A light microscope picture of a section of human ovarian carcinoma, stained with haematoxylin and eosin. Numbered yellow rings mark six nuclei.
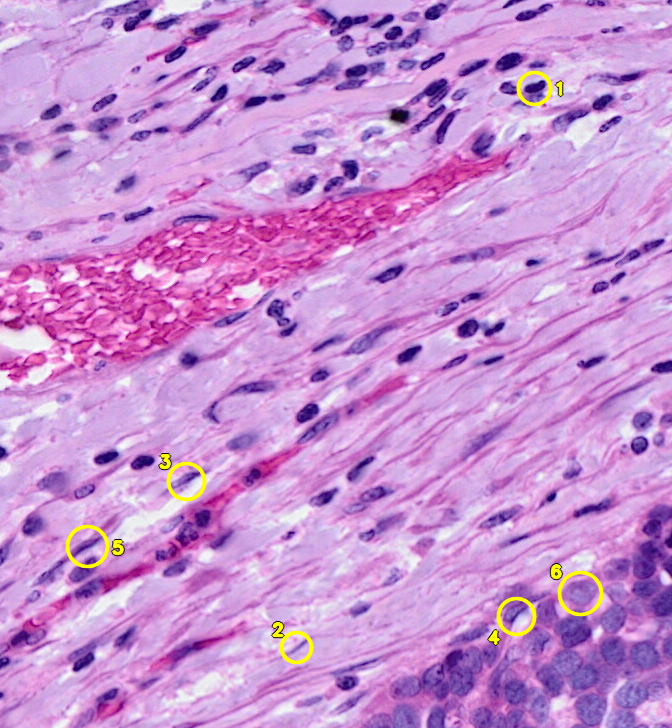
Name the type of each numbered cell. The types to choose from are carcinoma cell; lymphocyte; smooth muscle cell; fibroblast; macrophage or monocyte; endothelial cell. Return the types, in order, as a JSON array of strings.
["lymphocyte", "fibroblast", "fibroblast", "fibroblast", "fibroblast", "carcinoma cell"]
